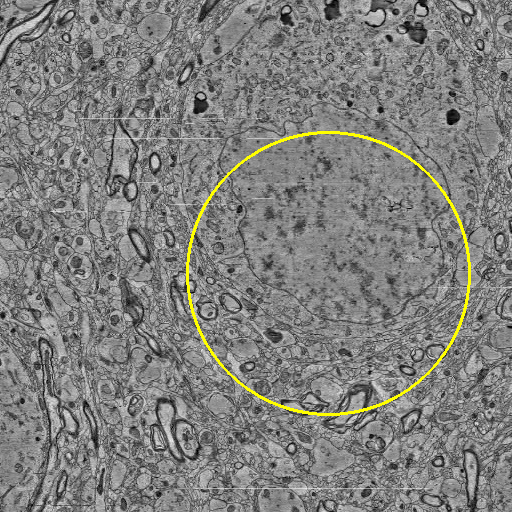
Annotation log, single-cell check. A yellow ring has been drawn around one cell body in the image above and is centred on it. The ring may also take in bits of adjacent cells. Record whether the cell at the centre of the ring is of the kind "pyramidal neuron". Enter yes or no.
yes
